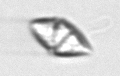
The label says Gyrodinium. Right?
Right.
